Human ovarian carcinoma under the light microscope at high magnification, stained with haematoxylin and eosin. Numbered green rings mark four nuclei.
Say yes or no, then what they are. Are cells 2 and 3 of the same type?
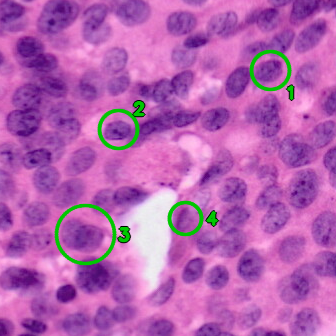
No, cell 2 is a macrophage or monocyte; as for cell 3, that one is a carcinoma cell.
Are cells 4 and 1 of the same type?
Yes, that is right: cells 4 and 1 are both carcinoma cells.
